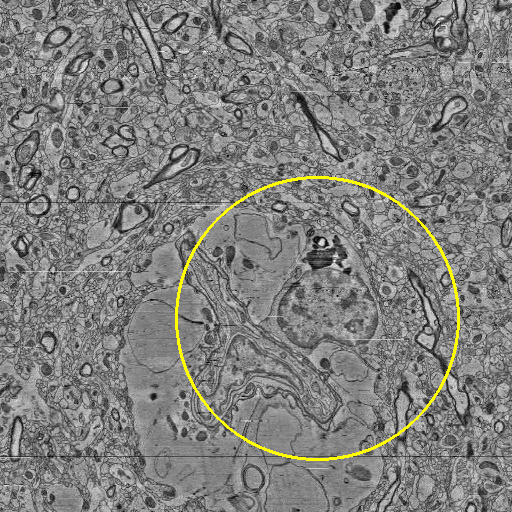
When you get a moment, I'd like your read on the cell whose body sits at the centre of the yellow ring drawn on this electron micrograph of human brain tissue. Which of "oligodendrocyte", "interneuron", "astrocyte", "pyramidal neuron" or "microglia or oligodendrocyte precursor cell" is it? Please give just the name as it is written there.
oligodendrocyte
